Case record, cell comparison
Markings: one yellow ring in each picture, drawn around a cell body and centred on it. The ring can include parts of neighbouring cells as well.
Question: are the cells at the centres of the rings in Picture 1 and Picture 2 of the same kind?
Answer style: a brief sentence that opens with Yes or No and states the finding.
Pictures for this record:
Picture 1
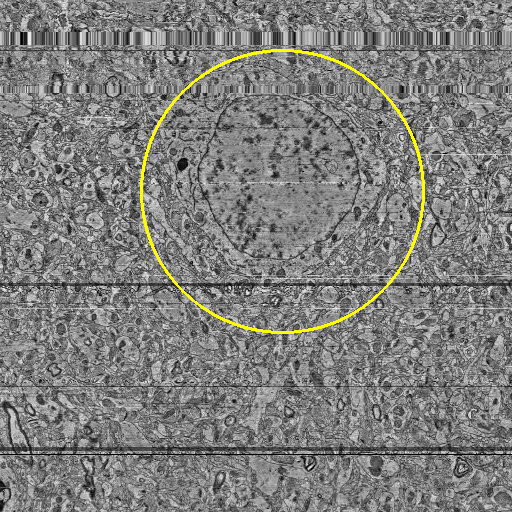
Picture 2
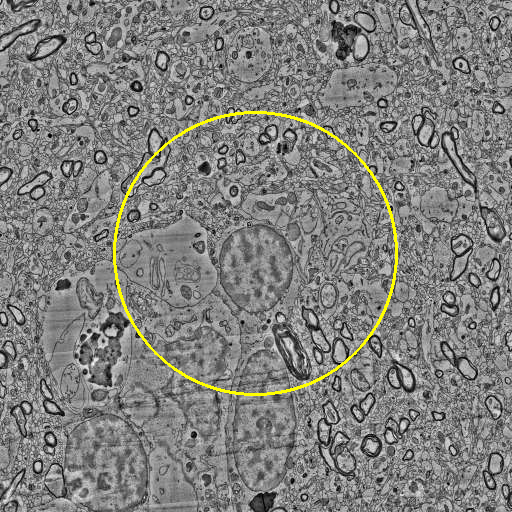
No, the cells in Picture 1 and Picture 2 are of two kinds.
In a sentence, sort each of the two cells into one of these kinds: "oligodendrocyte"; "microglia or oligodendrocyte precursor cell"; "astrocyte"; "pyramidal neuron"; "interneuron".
The first of the two cells is a pyramidal neuron, and the second is an oligodendrocyte.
